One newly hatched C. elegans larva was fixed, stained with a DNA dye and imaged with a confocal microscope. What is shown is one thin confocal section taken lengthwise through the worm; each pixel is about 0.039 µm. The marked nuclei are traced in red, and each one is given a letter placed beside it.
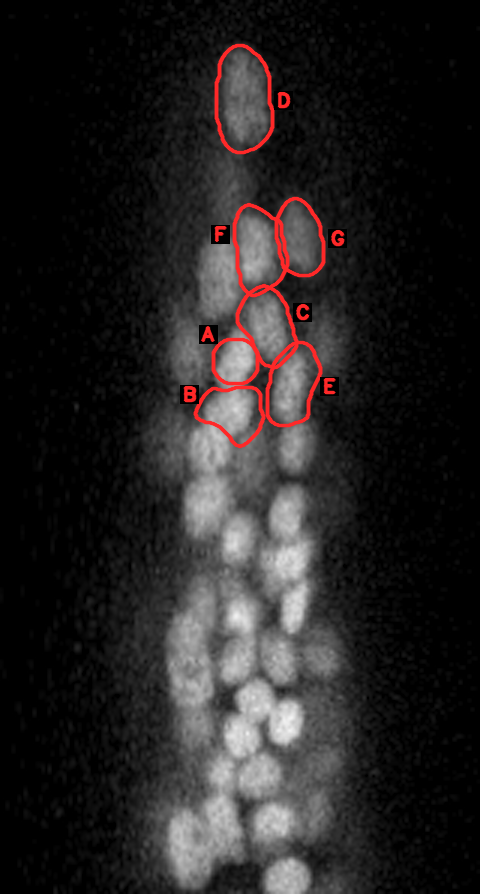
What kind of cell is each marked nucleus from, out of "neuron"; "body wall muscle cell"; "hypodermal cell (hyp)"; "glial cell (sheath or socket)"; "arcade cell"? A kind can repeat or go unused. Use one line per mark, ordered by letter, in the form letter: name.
A: arcade cell
B: glial cell (sheath or socket)
C: hypodermal cell (hyp)
D: hypodermal cell (hyp)
E: arcade cell
F: arcade cell
G: body wall muscle cell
